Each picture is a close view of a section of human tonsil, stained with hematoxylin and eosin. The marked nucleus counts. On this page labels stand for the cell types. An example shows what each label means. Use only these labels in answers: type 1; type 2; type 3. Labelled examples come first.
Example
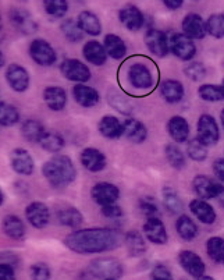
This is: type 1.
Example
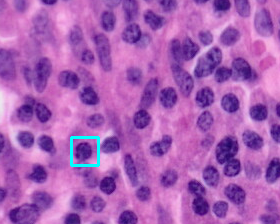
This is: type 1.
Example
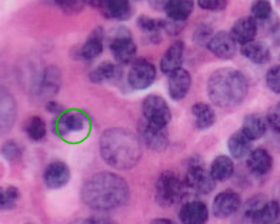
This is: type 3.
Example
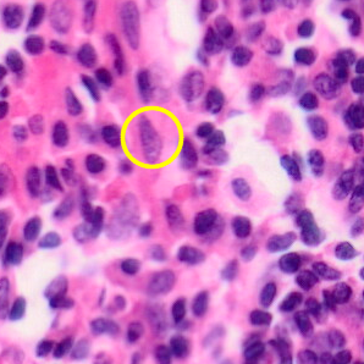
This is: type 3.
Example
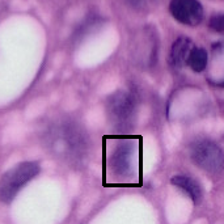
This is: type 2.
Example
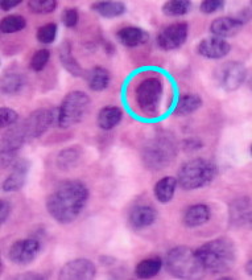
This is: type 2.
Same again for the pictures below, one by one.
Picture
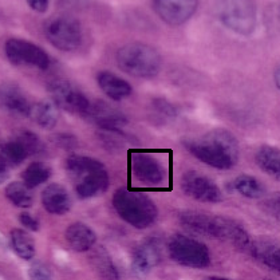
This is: type 2.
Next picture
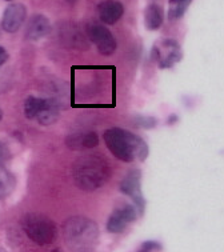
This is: type 2.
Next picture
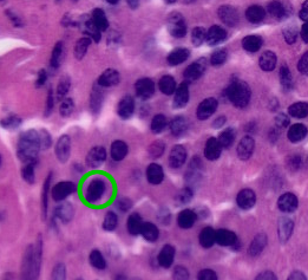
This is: type 1.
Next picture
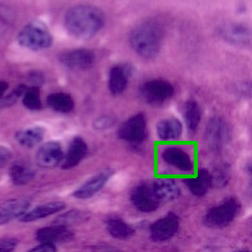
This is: type 2.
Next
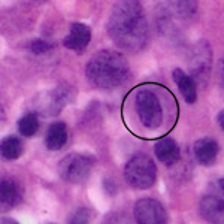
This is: type 2.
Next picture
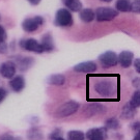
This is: type 3.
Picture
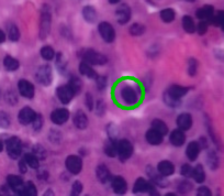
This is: type 1.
